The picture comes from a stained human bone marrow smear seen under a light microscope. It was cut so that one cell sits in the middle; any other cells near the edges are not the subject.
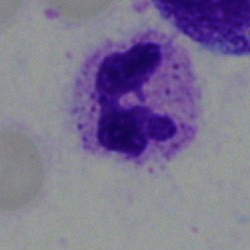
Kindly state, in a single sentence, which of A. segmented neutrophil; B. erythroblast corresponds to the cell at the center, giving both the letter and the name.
Option A is correct here, and the cell in the middle is a segmented neutrophil.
